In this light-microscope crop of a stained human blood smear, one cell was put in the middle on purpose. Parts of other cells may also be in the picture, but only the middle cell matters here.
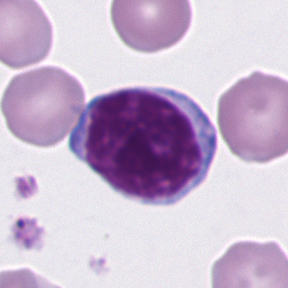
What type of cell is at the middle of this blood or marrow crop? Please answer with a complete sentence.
At the center of the crop sits a lymphocyte.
